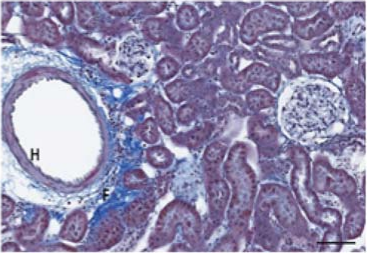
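This is kidney cortex with a large artery on the left and closely packed tubules and two glomeruli to the right. The artery has a thick, continuous pink-red muscular wall around a wide empty lumen. A broad cuff of blue-stained fibrous tissue surrounds the artery and extends into the nearby interstitium. The tubules are lined by cuboidal cells with purple-red granular cytoplasm and round nuclei. The glomeruli appear as rounded tufts of capillaries within a clear space.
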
